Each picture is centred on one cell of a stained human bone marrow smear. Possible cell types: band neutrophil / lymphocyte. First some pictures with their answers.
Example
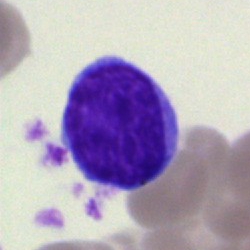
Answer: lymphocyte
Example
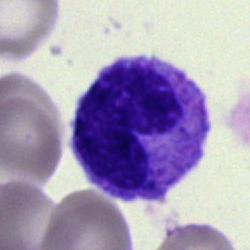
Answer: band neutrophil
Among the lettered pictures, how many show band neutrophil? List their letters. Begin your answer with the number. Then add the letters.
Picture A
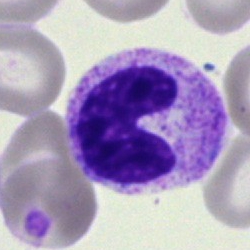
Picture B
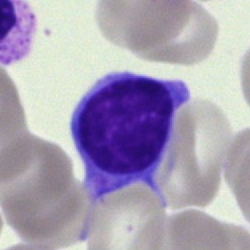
Count: 1 (A)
